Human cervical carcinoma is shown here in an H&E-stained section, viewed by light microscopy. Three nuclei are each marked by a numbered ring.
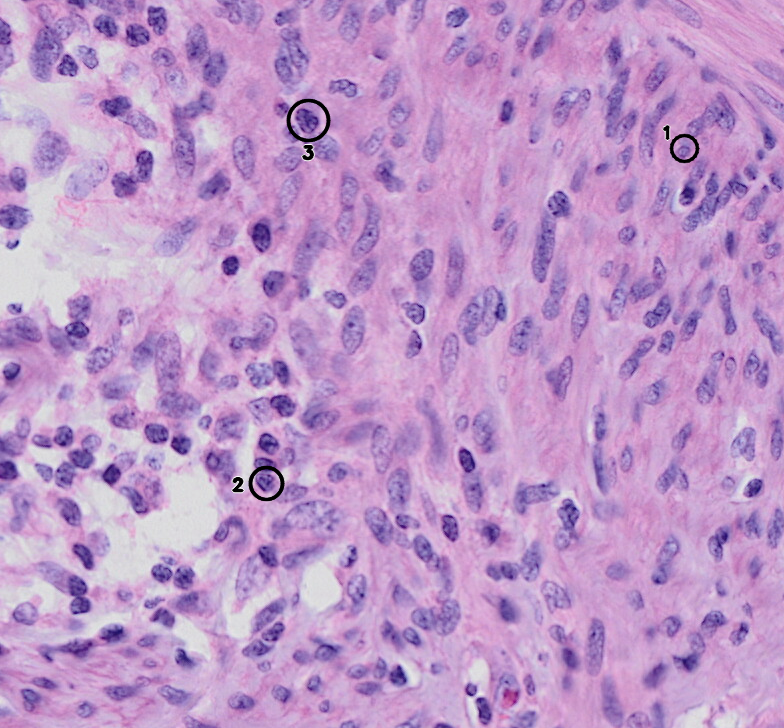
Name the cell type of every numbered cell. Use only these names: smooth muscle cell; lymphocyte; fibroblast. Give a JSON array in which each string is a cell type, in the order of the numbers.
["smooth muscle cell", "lymphocyte", "lymphocyte"]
